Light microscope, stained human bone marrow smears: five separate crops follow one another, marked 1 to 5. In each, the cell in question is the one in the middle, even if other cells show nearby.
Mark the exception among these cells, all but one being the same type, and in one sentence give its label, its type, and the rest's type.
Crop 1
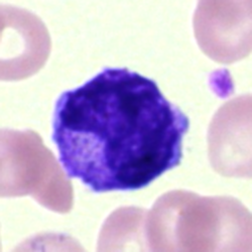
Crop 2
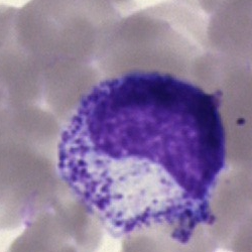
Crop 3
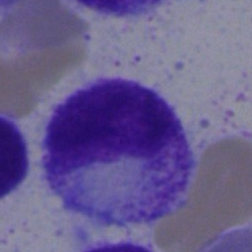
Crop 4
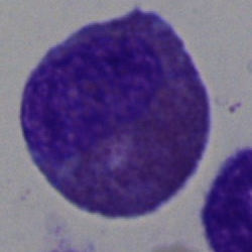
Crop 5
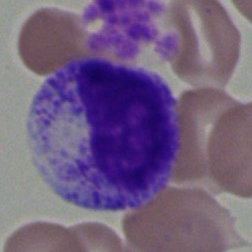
Crop 4 is the exception here: it is an eosinophil, and the others are metamyelocytes.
